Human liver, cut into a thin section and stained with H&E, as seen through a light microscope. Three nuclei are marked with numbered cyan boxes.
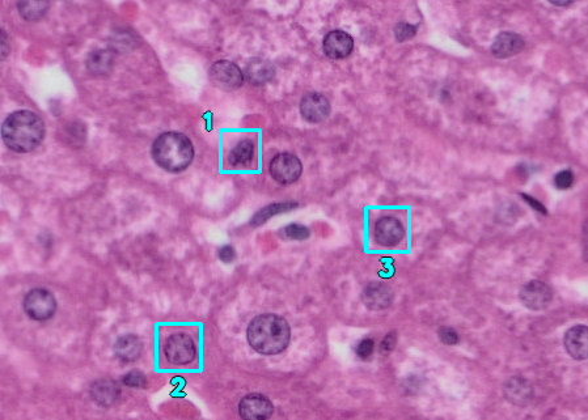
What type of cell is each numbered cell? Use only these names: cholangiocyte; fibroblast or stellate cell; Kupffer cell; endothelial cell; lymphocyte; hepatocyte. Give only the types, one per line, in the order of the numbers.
fibroblast or stellate cell
hepatocyte
hepatocyte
